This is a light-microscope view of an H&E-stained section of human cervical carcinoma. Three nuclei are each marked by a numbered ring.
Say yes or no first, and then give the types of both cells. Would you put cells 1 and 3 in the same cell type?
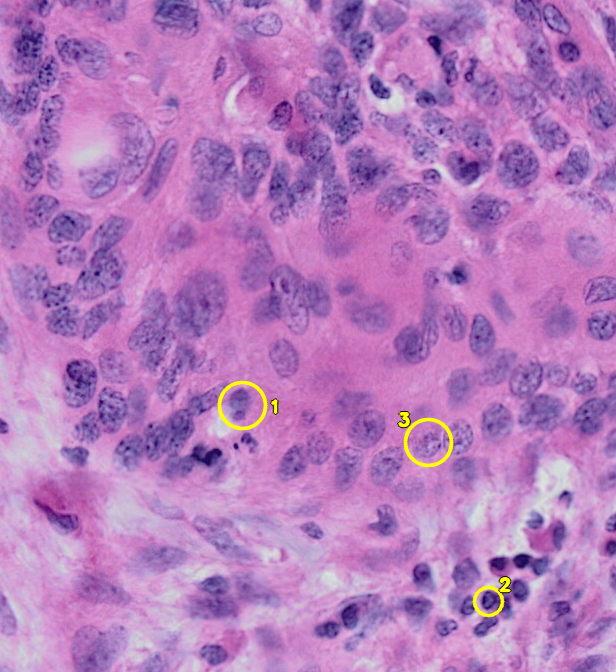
Yes, both are squamous carcinoma cells.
